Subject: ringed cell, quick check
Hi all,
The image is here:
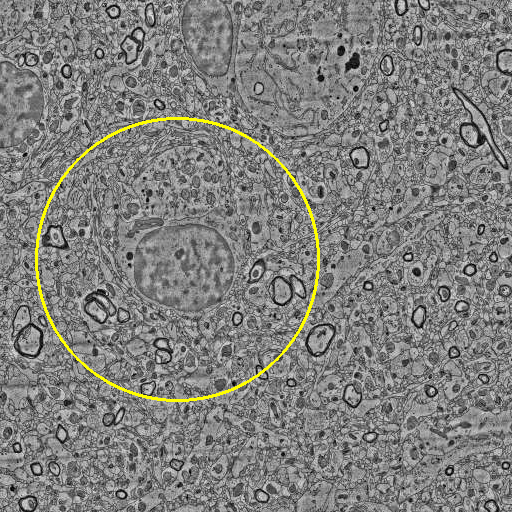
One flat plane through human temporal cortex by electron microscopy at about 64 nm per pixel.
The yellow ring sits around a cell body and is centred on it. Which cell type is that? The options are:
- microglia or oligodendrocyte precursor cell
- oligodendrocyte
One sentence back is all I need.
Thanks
That ringed cell is an oligodendrocyte.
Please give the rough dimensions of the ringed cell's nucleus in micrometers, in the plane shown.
Approximately 6 micrometres across in this plane.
